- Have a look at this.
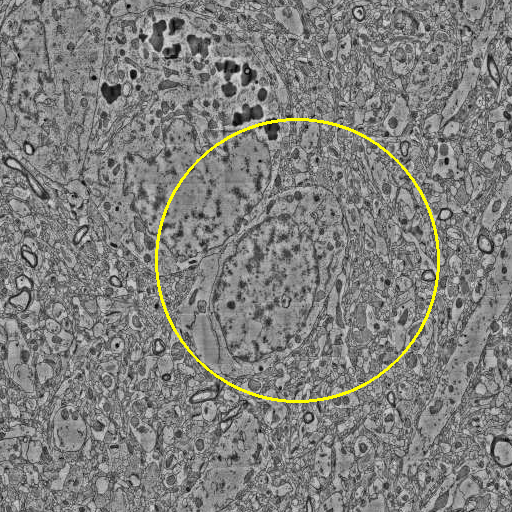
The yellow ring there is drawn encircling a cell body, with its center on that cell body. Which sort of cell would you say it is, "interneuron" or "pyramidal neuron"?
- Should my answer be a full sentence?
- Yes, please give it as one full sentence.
For this picture, an interneuron is the cell where the yellow ring has its center.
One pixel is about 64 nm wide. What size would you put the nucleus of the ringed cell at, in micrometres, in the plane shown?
Roughly 10 micrometres long and 6 micrometres wide; in this plane the nucleus is clearly longer than it is wide.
